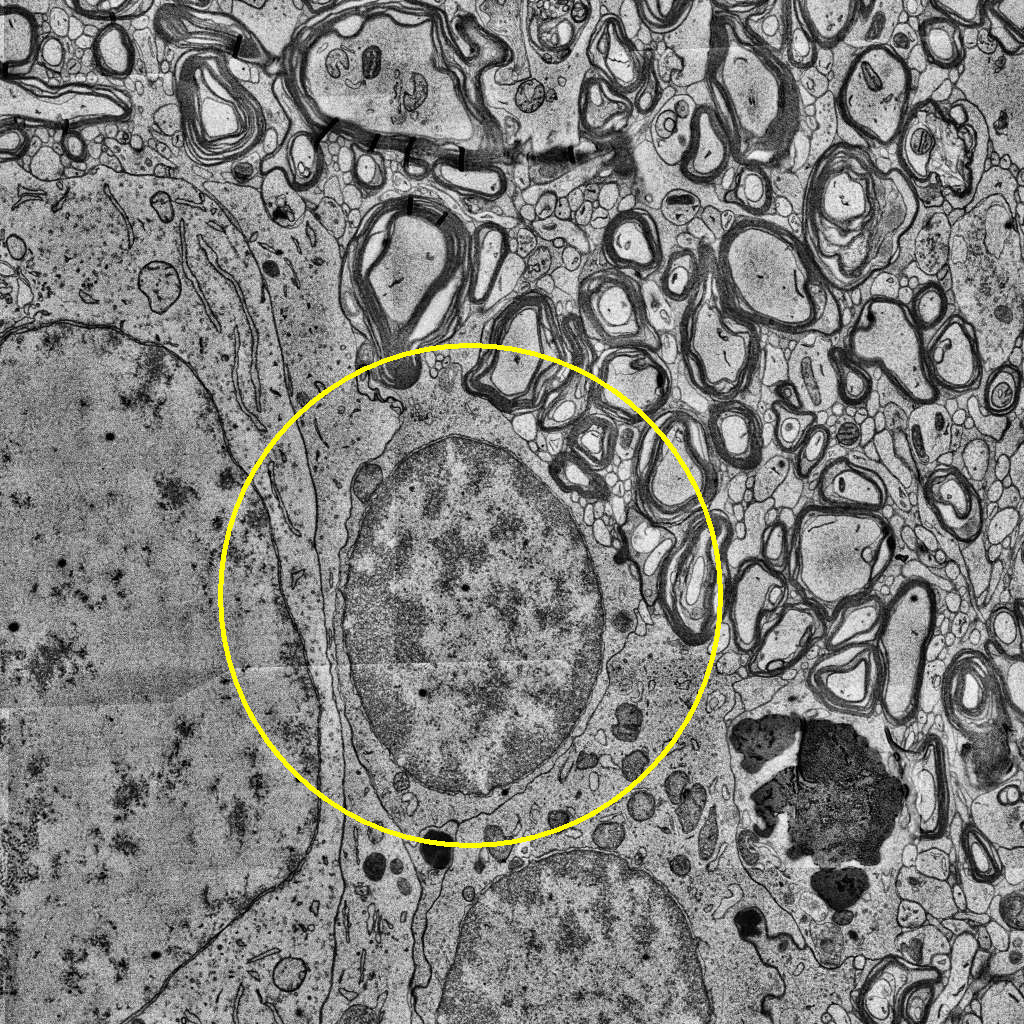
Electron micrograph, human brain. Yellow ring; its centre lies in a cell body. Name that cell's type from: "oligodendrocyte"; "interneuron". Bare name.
oligodendrocyte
